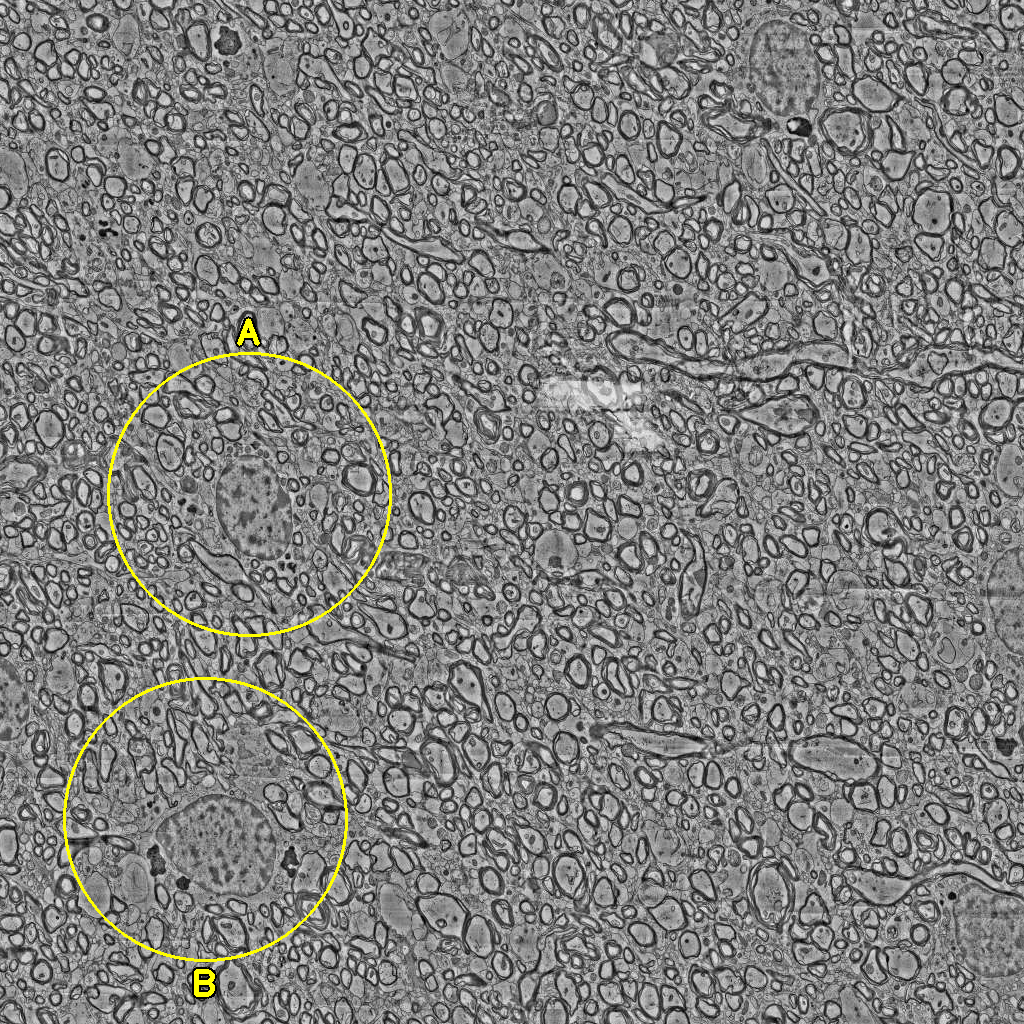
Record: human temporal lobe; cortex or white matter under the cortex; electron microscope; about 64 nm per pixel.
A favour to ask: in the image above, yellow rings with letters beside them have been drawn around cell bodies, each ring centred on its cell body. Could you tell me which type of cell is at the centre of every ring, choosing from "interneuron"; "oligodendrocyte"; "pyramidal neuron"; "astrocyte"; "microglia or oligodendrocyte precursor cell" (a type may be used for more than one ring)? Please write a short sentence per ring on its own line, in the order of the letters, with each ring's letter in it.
Ring A holds a microglial cell or oligodendrocyte precursor cell at its centre.
Ring B holds an oligodendrocyte at its centre.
